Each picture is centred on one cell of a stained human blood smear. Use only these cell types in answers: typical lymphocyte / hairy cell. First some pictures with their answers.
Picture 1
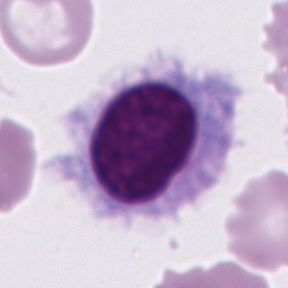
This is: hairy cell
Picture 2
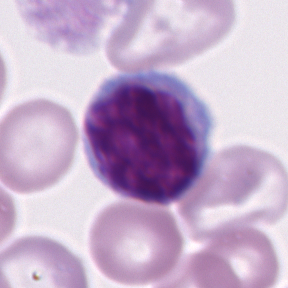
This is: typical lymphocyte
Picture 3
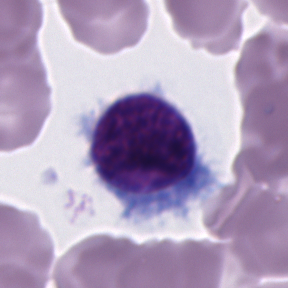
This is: hairy cell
